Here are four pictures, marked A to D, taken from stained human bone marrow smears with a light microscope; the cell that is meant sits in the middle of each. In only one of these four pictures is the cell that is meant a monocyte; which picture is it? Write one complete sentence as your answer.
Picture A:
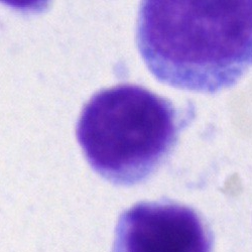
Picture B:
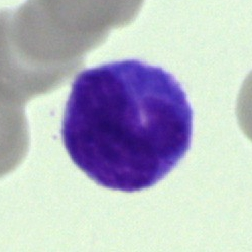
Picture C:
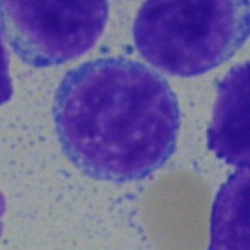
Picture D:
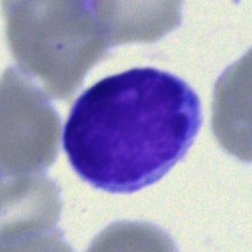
It is picture B that shows the monocyte.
